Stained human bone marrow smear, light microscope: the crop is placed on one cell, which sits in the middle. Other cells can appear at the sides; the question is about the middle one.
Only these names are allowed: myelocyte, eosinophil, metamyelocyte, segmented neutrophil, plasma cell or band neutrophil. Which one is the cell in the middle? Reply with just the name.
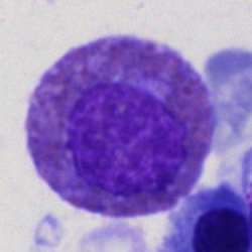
eosinophil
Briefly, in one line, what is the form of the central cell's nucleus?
Between us, the nucleus here is just one compact mass, round, oval or kidney-shaped.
